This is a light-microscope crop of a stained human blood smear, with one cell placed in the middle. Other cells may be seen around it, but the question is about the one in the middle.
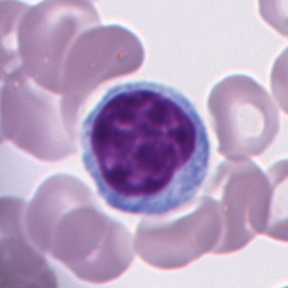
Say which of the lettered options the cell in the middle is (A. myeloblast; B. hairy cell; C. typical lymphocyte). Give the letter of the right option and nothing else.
C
